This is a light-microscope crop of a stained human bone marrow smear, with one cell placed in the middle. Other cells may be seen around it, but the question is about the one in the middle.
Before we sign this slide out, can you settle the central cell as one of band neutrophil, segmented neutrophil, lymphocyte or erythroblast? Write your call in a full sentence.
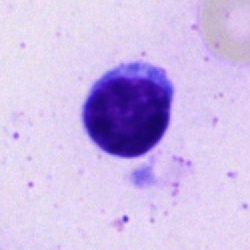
The cell the crop is centered on is a lymphocyte.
